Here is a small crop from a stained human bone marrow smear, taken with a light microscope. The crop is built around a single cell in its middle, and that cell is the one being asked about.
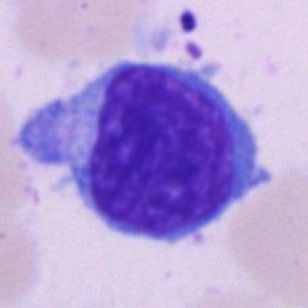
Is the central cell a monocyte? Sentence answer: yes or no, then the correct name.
No, the cell in the middle is not a monocyte but a lymphocyte.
